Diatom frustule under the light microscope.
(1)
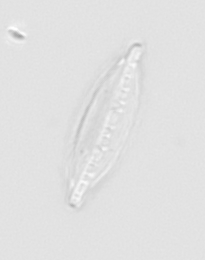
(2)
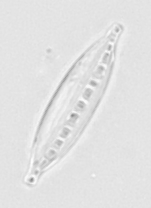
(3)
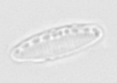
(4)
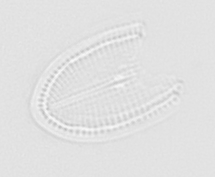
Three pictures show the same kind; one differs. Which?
Picture 4: Cocconeis, while the others are Nitzschia.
